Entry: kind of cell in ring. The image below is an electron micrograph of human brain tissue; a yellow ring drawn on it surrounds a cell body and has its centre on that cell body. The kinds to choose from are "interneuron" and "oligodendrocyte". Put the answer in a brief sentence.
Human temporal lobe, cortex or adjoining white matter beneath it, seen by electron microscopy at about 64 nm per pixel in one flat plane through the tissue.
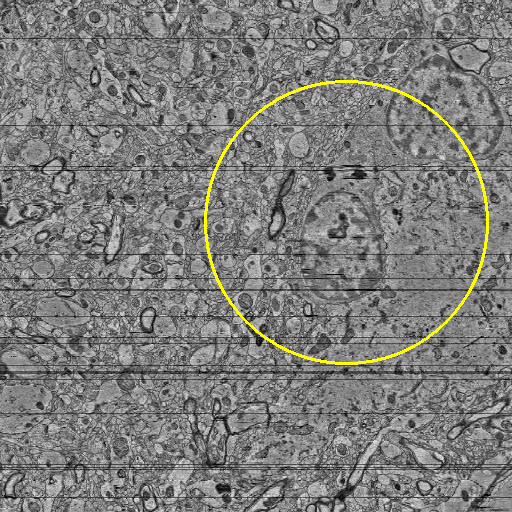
The ring has been drawn around an oligodendrocyte.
